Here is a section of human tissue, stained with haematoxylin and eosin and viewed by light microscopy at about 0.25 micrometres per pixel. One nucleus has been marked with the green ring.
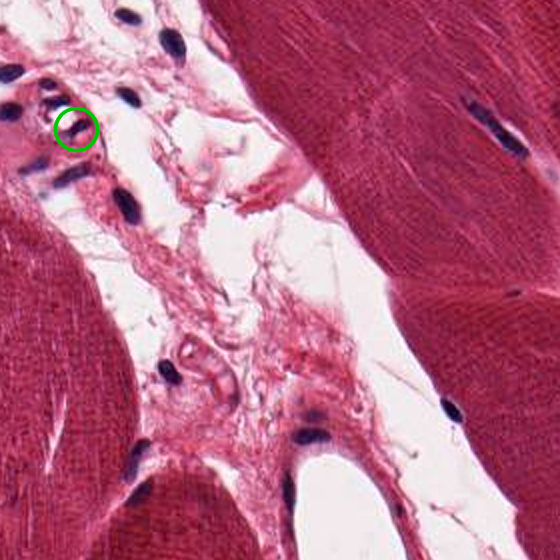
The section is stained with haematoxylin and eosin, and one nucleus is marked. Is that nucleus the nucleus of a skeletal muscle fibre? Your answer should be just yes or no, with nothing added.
no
